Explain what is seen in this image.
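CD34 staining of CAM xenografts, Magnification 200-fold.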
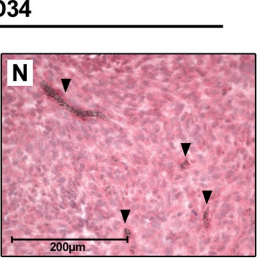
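The cells are crowded and spindle-shaped to oval, with pale nuclei and no clear borders between them. Small dark grey-brown stained profiles stand out against the pink. One of them is elongated, like a small channel cut lengthwise.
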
